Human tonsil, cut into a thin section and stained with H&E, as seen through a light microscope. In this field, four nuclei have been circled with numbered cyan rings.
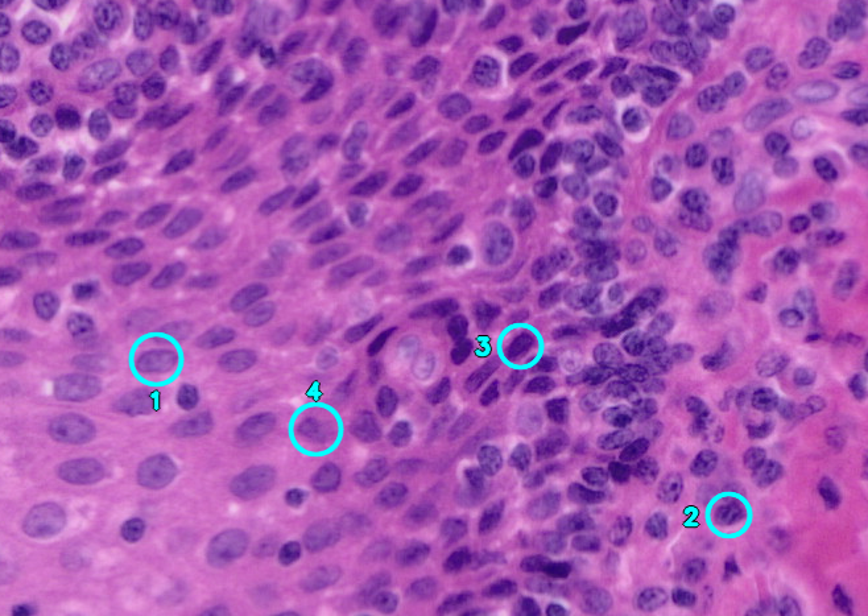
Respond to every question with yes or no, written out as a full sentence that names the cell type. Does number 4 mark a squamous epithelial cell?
Yes, the cell whose number is 4 is a squamous epithelial cell.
